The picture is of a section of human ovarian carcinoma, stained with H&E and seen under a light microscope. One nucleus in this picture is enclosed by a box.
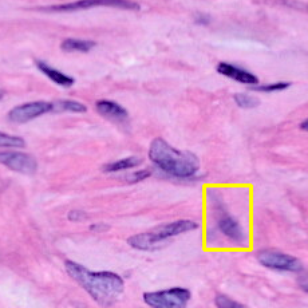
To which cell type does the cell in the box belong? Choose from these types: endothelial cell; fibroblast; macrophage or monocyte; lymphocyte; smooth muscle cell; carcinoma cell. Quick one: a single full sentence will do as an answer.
As a matter of cell type, the cell in the box is a smooth muscle cell.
